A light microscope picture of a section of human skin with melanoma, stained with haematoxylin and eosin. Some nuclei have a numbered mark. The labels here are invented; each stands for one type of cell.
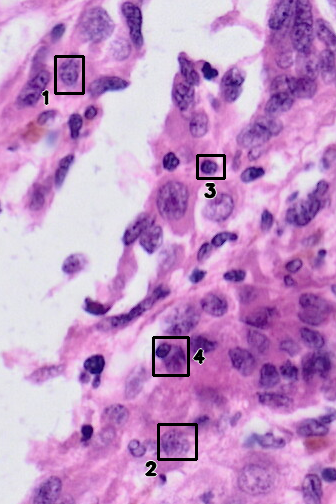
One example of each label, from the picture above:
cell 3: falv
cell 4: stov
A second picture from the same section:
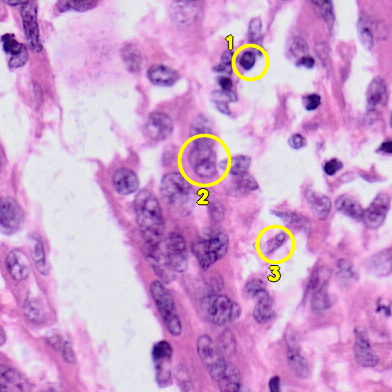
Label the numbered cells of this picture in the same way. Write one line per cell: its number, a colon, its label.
1: falv
2: stov
3: stov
